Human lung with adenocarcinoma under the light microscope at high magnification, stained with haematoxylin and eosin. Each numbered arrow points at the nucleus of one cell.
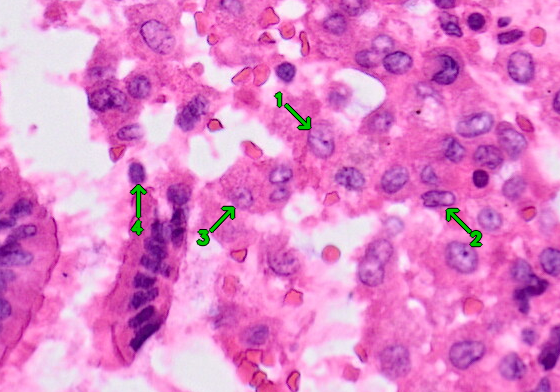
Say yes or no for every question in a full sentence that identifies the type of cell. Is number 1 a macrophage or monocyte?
Yes, cell number 1 is classified as a macrophage or monocyte.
